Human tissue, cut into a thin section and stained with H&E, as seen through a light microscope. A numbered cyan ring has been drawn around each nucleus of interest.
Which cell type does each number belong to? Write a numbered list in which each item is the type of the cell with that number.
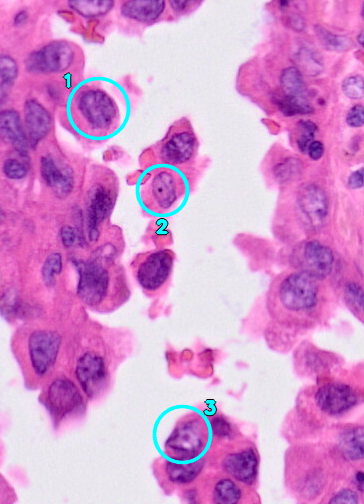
1. carcinoma cell
2. macrophage or monocyte
3. carcinoma cell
